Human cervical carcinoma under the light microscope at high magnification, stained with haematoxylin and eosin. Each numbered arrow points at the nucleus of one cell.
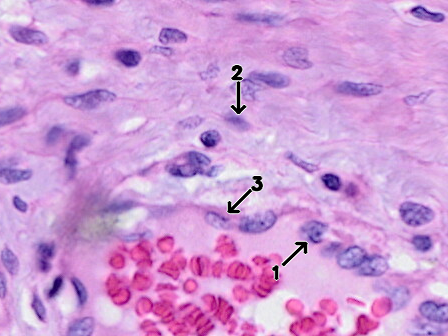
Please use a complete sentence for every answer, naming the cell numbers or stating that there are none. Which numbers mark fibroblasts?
It is cell 2, and no other numbered cell, that is a fibroblast.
